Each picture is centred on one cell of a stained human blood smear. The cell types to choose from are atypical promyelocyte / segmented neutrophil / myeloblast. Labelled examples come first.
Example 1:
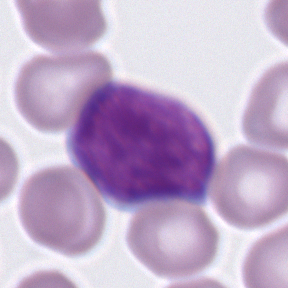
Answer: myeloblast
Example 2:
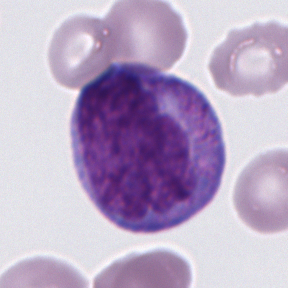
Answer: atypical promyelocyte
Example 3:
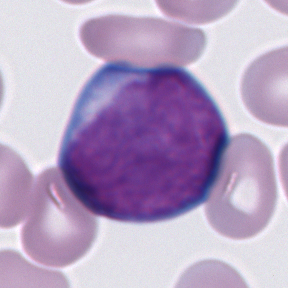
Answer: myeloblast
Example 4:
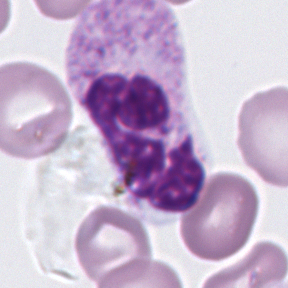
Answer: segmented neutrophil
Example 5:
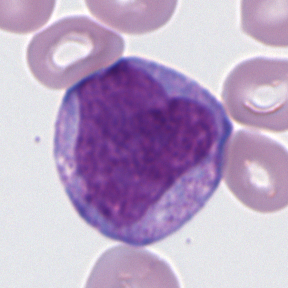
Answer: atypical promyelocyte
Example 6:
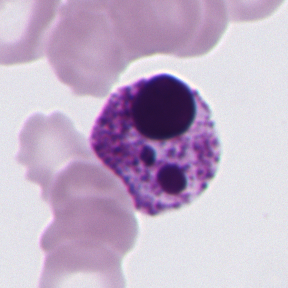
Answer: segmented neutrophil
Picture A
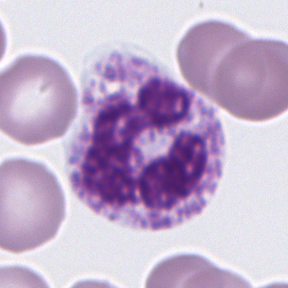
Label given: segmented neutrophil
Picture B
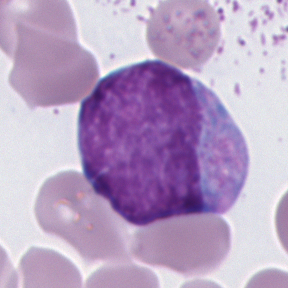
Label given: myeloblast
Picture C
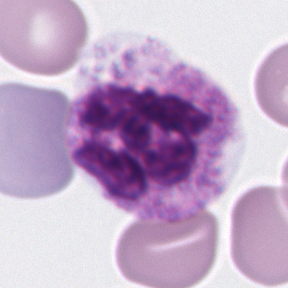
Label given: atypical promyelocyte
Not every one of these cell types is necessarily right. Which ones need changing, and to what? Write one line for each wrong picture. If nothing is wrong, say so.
B: atypical promyelocyte, not myeloblast
C: segmented neutrophil, not atypical promyelocyte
